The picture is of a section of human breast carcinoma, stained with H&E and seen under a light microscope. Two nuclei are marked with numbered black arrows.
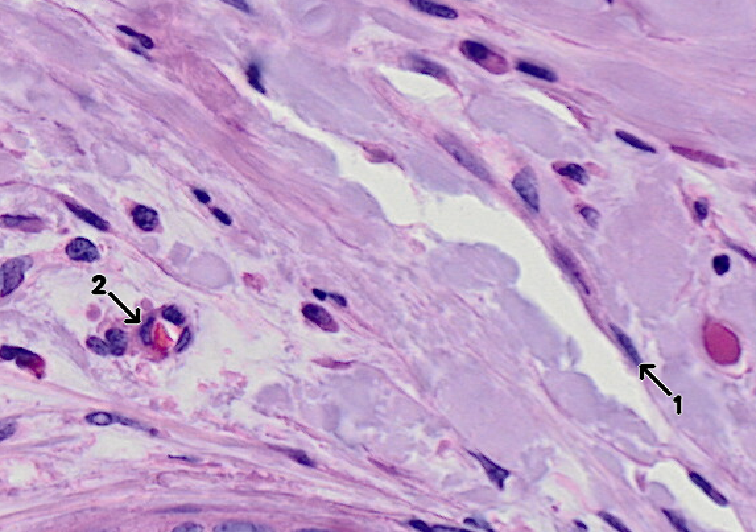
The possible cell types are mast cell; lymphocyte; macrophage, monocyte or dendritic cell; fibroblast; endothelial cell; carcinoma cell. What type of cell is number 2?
endothelial cell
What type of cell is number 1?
fibroblast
